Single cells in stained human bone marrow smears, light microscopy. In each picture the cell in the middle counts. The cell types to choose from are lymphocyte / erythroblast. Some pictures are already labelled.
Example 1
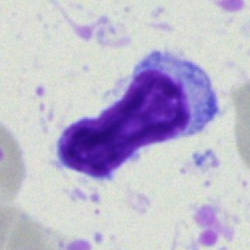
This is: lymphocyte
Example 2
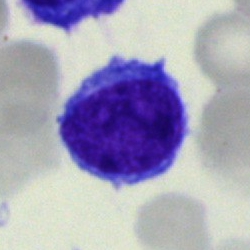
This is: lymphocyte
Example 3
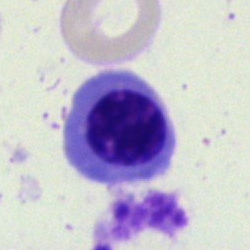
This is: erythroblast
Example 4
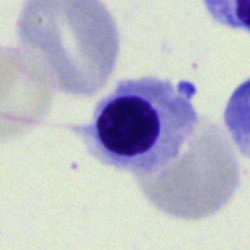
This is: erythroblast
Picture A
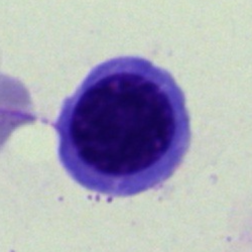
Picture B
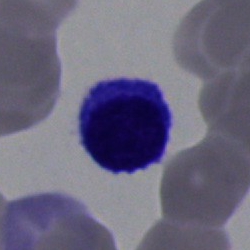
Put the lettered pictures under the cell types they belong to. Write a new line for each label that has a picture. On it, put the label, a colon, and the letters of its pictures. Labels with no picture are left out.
lymphocyte: B
erythroblast: A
